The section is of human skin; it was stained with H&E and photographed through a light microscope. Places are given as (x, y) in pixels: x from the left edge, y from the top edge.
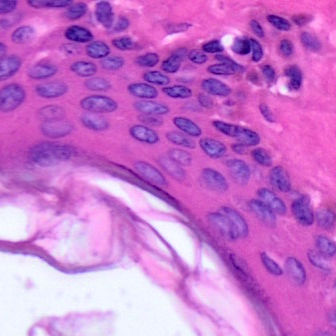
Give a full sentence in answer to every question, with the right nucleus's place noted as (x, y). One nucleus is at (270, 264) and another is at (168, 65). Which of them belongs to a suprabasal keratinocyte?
Assigned to a suprabasal keratinocyte is the nucleus located at (270, 264).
